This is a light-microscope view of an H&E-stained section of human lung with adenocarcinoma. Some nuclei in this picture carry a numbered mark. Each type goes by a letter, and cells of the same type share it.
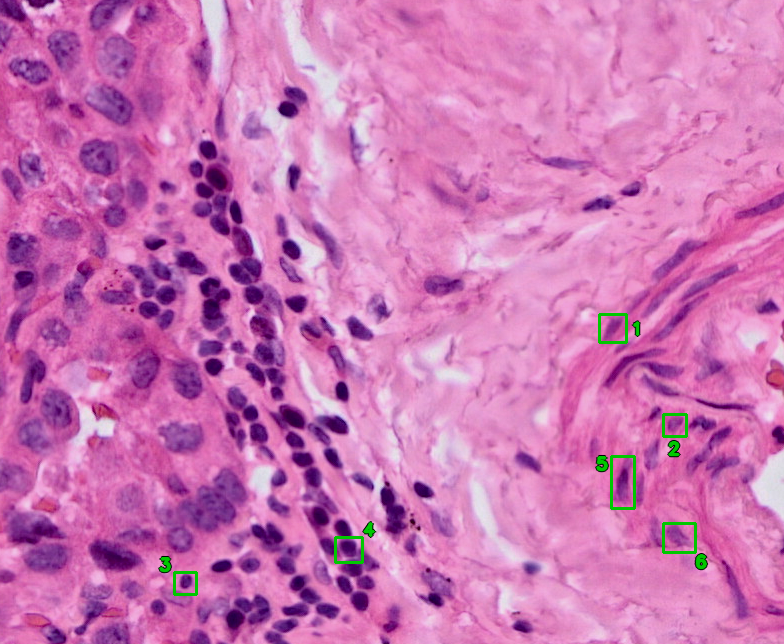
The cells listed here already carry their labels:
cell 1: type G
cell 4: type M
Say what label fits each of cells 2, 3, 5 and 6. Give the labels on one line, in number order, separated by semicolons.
type G; type M; type G; type G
